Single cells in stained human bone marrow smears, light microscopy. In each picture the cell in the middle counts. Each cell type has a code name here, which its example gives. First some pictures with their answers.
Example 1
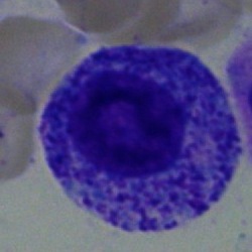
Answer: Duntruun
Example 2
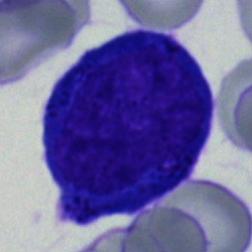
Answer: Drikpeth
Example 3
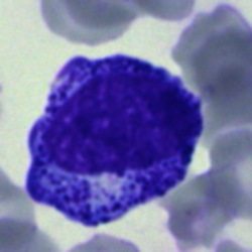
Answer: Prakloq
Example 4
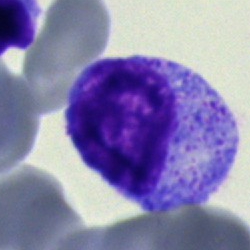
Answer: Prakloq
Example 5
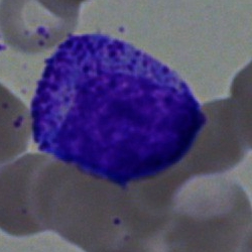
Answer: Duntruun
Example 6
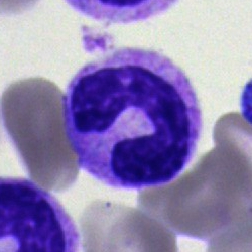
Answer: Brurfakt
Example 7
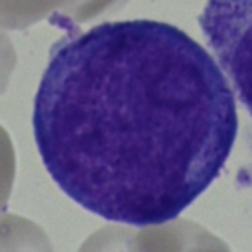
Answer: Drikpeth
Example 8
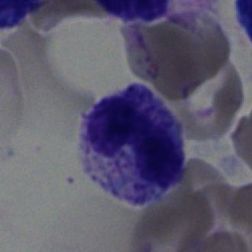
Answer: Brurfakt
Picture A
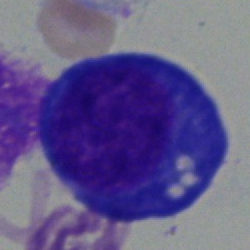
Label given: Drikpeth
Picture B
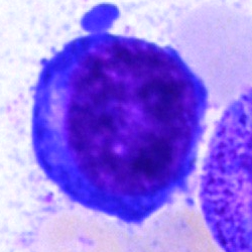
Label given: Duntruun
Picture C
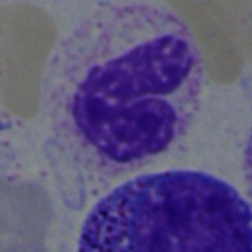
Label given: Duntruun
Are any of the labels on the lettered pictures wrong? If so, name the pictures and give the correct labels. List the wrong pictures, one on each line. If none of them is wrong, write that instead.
B is labelled Duntruun; correct label: Drikpeth
C is labelled Duntruun; correct label: Brurfakt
